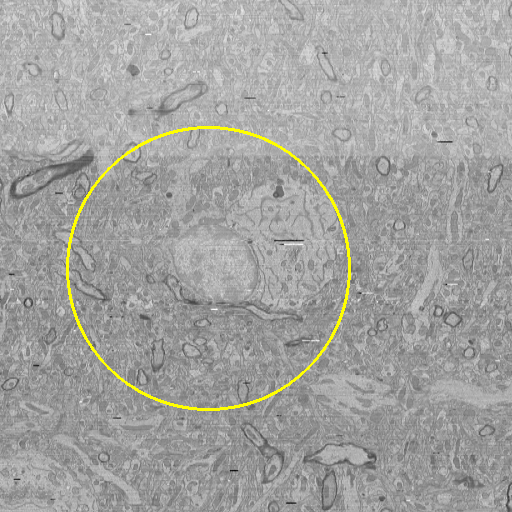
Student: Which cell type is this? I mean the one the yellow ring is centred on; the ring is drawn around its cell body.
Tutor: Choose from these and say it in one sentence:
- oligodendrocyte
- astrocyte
The cell the ring is centred on is an oligodendrocyte.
